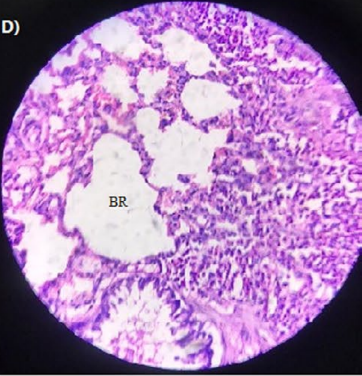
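Lung tissue in which open air spaces on the left give way on the right to a dense, crowded region of dark purple nuclei where the alveolar septa are markedly thickened. The tissue between air spaces is packed with small round cells, consistent with inflammatory cell infiltration, and a bronchiole with a folded epithelial lining lies at the lower edge.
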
